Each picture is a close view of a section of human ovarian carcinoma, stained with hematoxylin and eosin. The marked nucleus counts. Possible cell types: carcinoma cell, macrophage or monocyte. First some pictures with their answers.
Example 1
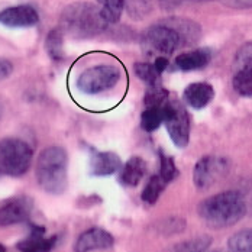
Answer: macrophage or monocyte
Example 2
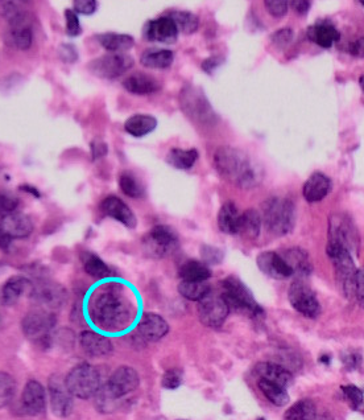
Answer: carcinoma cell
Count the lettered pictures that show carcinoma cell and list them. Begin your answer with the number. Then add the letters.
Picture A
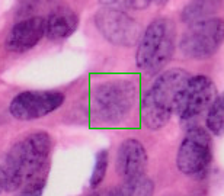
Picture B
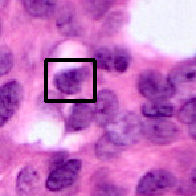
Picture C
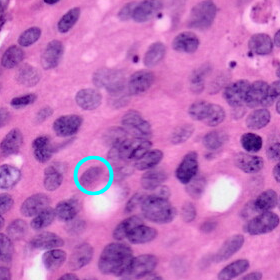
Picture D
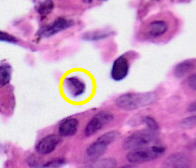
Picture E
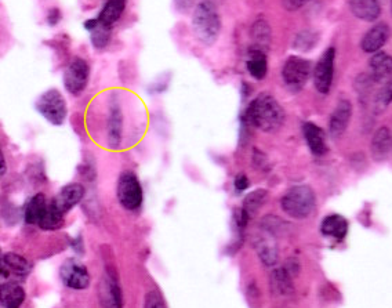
4: A, B, C, D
